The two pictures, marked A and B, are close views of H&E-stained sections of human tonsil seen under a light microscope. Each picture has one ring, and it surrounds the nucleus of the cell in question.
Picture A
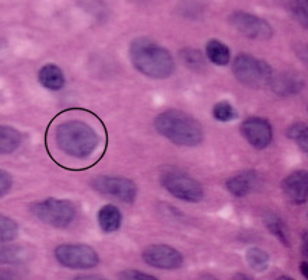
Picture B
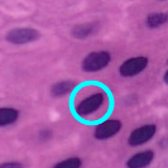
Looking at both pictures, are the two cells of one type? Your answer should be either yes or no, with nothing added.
yes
